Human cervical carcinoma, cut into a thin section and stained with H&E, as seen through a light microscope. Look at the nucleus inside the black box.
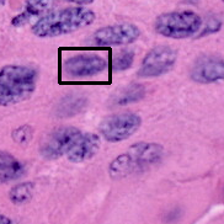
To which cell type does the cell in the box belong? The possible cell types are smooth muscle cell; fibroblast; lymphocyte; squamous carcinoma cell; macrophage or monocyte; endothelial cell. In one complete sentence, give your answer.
Cytologically, the cell in the box is to be regarded as a squamous carcinoma cell.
